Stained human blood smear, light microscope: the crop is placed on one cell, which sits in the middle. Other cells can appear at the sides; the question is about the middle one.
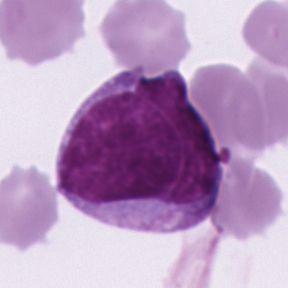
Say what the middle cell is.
myeloblast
